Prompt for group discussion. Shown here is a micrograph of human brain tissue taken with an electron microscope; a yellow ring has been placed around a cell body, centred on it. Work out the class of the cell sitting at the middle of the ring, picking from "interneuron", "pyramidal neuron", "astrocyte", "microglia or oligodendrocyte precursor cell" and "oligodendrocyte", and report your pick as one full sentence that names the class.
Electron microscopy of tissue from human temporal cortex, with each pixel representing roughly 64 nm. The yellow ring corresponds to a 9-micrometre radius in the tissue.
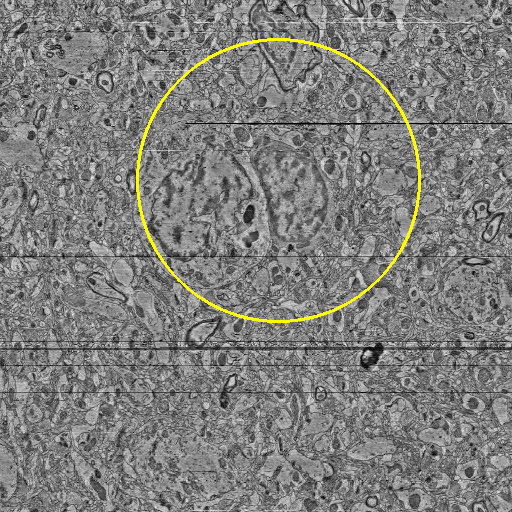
The cell sitting at the middle of the yellow ring is an oligodendrocyte.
